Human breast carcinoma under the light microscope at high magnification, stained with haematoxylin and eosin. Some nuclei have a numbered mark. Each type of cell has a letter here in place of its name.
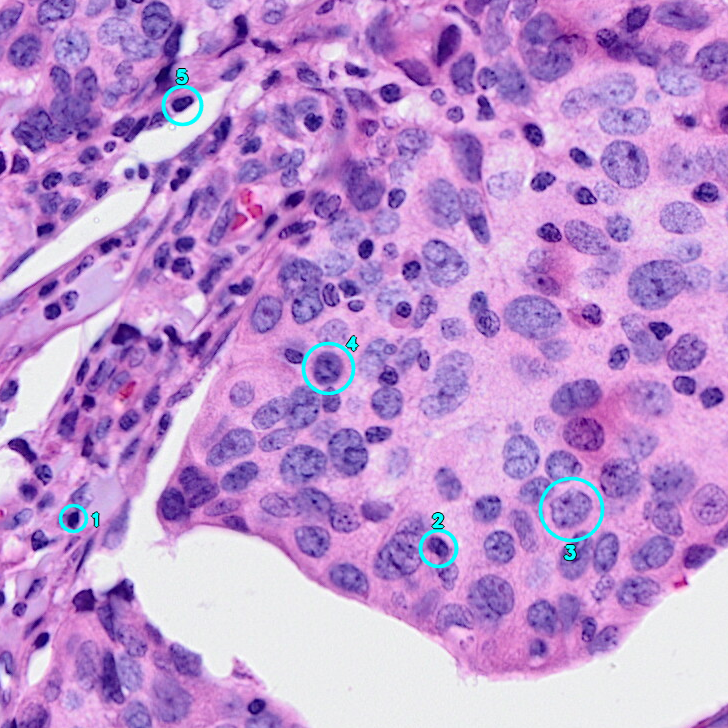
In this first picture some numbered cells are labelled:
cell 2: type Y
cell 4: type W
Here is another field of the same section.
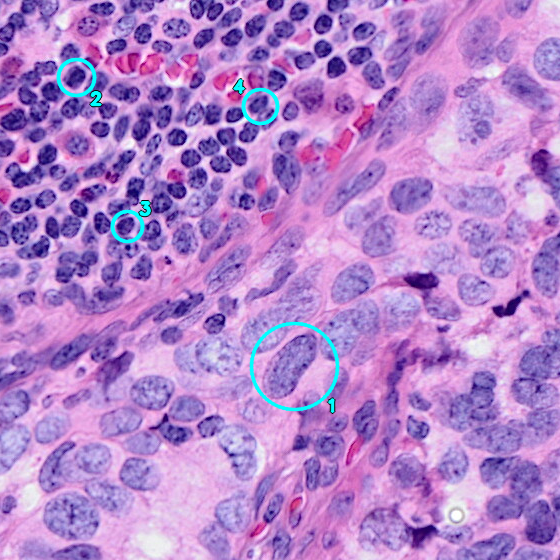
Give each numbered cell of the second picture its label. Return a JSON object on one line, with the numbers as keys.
{"1": "type W", "2": "type Y", "3": "type Y", "4": "type Y"}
